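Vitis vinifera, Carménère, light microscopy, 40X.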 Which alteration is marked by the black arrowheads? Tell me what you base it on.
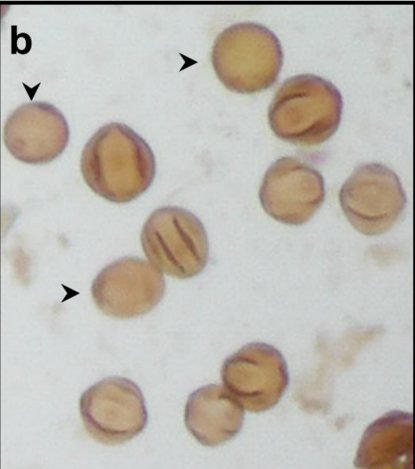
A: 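Abnormal pollen grains. They are round and show no dark furrows. Unmarked grains show dark longitudinal furrows.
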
